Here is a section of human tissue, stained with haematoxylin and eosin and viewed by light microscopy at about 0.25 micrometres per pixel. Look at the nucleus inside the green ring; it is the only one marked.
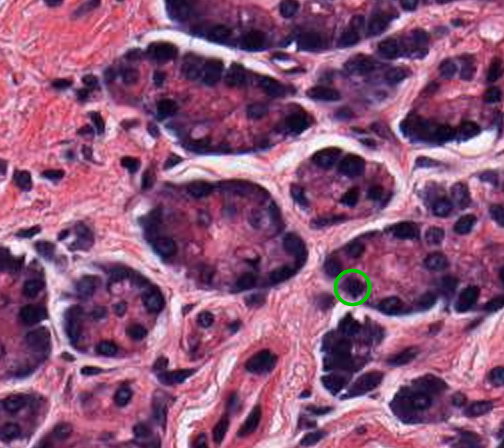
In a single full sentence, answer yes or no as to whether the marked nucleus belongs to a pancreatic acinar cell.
Yes, the cell that holds the marked nucleus is a pancreatic acinar cell.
